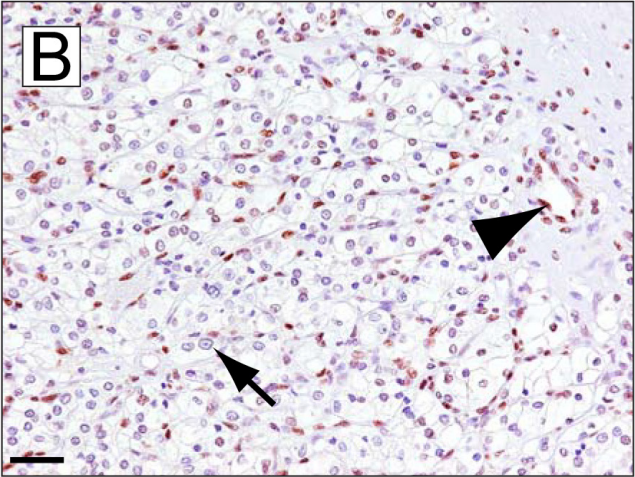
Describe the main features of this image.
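This is clear cell renal cell carcinoma, made of sheets of polygonal tumour cells with abundant pale, empty-looking cytoplasm and sharp cell borders. Their small round nuclei are mostly blue, some with a visible nucleolus. Running between the cell nests is a fine network of thin vessels and stroma whose slender, elongated nuclei are stained brown, standing out against the pale tumour cells.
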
